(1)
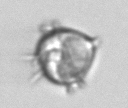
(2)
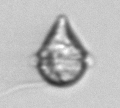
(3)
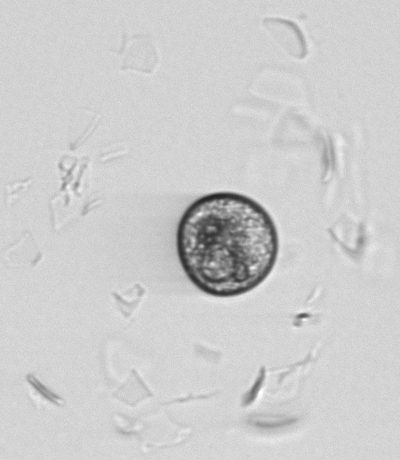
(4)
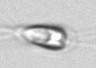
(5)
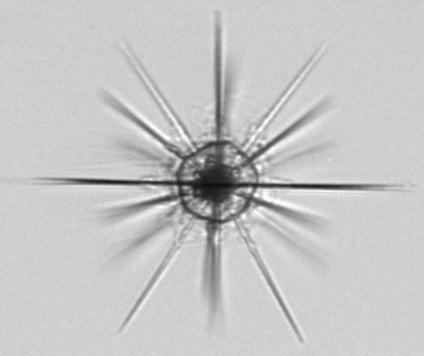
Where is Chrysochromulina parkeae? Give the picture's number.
4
